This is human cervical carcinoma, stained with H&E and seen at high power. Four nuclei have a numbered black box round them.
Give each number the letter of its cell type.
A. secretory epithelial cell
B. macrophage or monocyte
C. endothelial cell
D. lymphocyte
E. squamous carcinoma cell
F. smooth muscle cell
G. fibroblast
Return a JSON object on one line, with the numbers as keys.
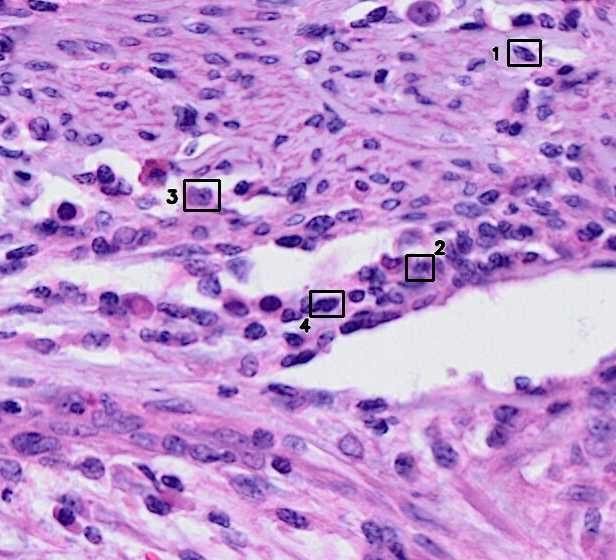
{"1": "D", "2": "D", "3": "B", "4": "D"}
